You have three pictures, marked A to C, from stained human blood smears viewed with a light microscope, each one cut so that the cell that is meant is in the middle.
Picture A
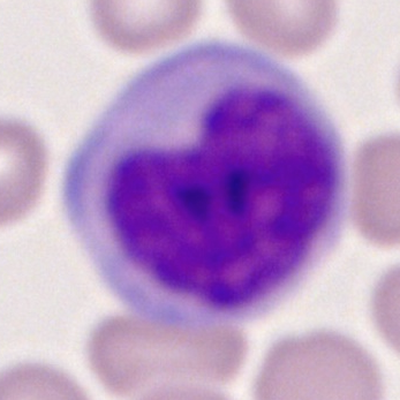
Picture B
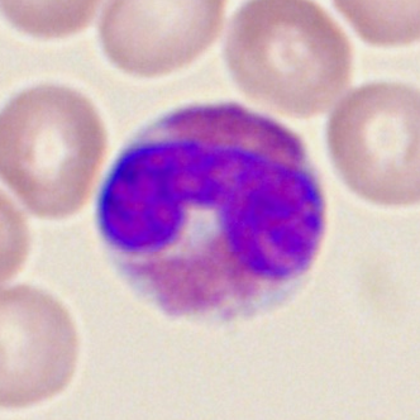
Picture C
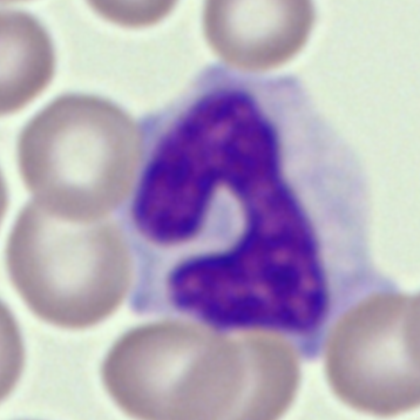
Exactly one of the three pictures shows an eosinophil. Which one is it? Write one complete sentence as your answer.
Picture B shows the eosinophil.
